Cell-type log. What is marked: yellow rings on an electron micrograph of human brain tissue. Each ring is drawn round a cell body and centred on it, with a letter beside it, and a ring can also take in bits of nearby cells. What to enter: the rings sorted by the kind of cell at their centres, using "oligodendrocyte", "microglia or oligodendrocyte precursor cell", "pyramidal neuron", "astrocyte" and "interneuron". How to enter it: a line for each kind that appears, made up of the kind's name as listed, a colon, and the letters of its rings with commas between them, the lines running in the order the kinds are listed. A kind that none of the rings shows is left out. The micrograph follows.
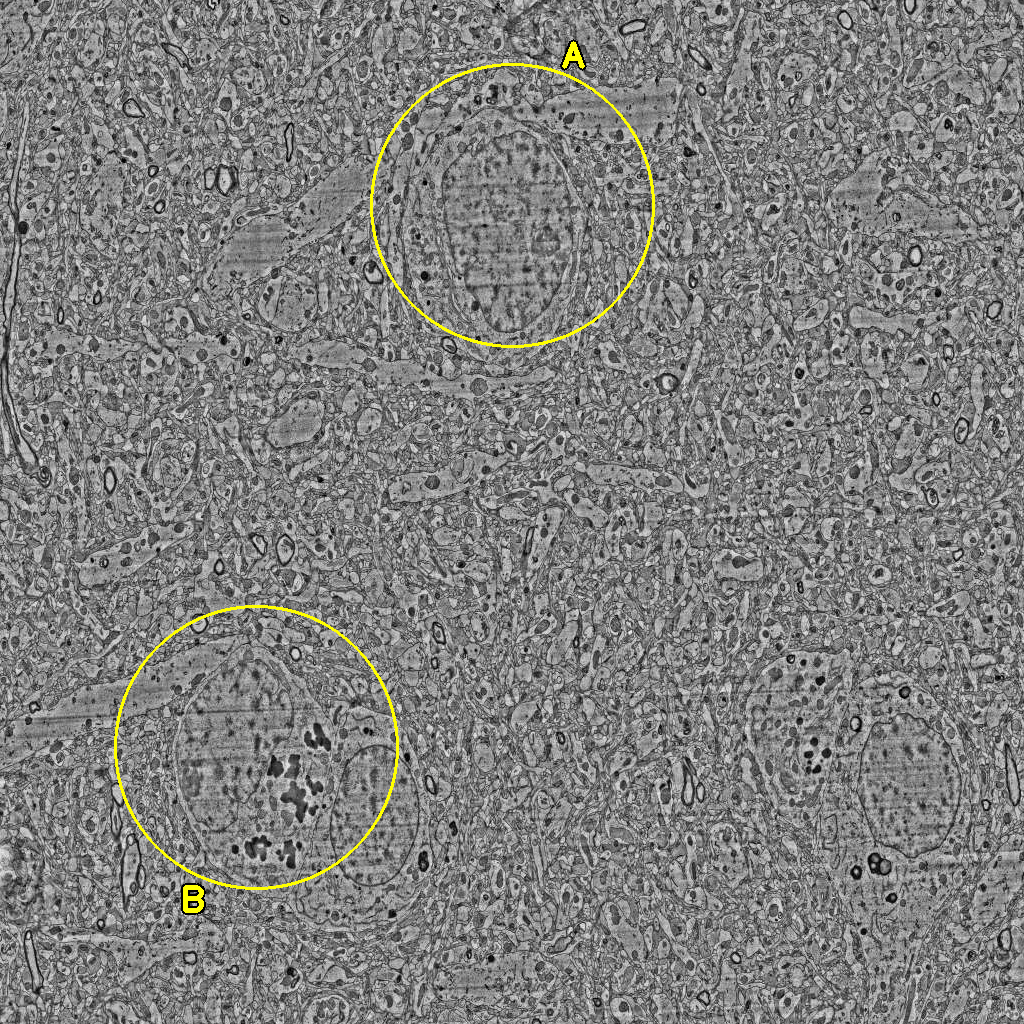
interneuron: A, B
